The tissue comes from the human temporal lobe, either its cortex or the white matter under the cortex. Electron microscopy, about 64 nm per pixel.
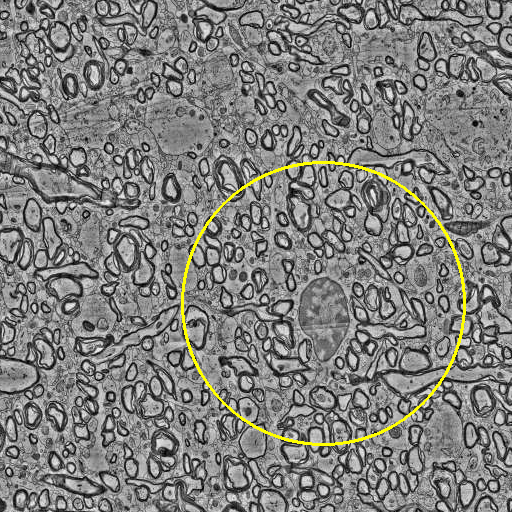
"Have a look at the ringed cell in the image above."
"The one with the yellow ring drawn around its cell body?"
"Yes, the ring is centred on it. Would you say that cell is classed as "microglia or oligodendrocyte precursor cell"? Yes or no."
yes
